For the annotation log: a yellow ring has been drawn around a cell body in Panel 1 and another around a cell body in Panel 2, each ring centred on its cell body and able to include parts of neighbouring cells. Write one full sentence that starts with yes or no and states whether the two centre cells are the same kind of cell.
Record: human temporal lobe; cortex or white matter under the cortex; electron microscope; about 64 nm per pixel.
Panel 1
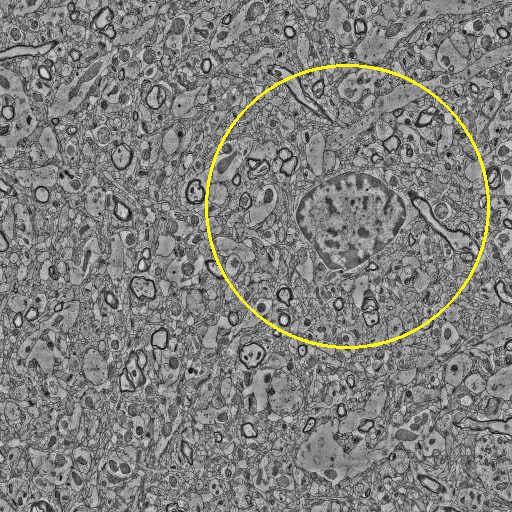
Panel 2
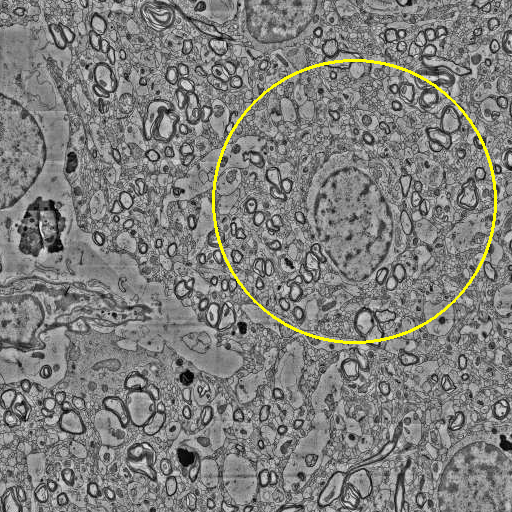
Yes, the two centre cells are the same kind of cell.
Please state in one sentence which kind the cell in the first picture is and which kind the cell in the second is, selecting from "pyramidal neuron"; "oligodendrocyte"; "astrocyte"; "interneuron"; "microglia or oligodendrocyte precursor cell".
Each of the ringed cells, first and second, is a microglial cell or oligodendrocyte precursor cell.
